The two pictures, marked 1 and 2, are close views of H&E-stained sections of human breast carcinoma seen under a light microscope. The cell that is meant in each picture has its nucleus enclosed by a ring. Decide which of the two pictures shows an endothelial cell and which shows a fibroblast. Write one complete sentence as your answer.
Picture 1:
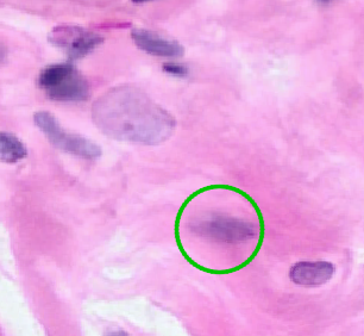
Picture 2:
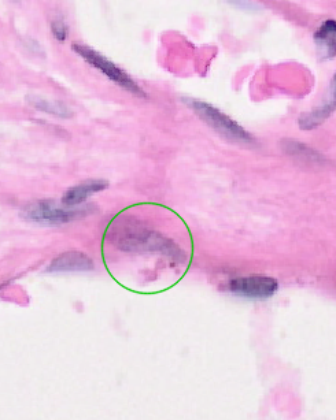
In picture 1 the cell is a fibroblast; in picture 2, an endothelial cell.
